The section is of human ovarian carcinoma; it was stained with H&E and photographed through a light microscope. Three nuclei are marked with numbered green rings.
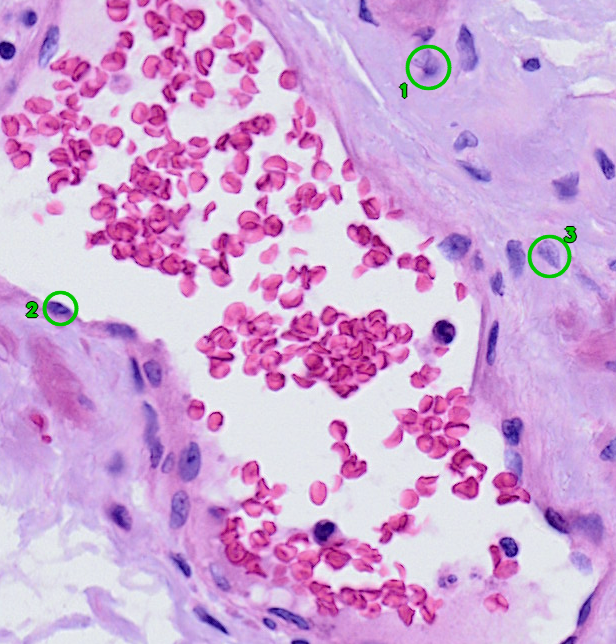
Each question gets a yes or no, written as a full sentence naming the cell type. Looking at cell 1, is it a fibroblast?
Yes, for number 1, the cell is a fibroblast.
